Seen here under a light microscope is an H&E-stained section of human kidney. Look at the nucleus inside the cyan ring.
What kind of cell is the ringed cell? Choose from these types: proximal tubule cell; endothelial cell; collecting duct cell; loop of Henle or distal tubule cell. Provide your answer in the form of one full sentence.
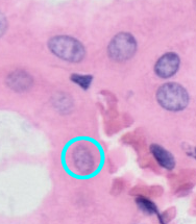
Right, so the ringed cell is a proximal tubule cell, to answer that.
